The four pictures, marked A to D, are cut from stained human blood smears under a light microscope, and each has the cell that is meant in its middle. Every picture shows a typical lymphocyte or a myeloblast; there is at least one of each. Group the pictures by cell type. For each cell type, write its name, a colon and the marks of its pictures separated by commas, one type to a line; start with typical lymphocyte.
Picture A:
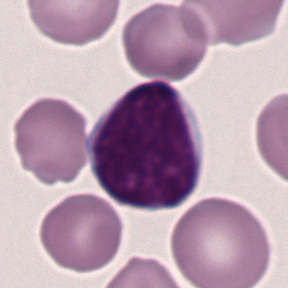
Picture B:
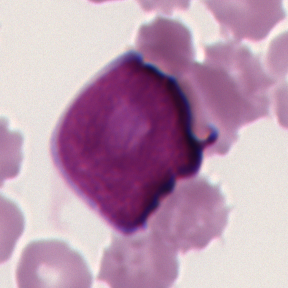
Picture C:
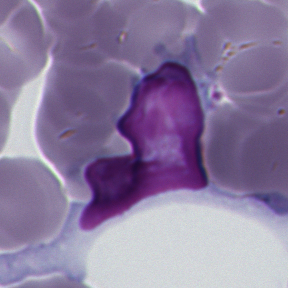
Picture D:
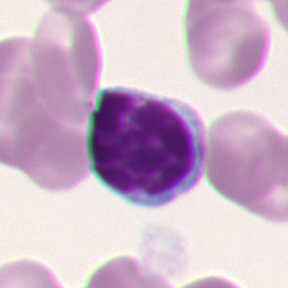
typical lymphocyte: A, C, D
myeloblast: B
